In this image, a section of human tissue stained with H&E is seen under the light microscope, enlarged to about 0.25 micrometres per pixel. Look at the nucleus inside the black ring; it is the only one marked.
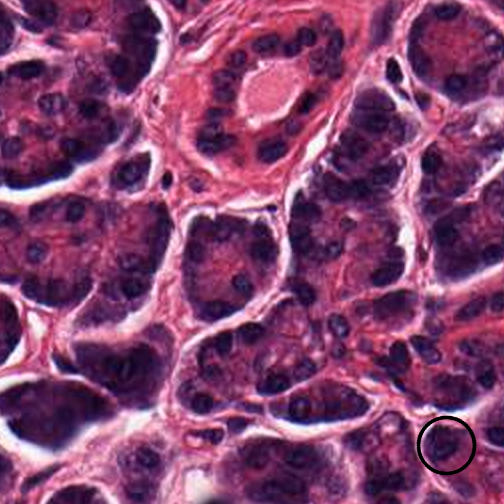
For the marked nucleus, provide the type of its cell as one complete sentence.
Within the picture, the marked nucleus belongs to a pancreatic acinar cell.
